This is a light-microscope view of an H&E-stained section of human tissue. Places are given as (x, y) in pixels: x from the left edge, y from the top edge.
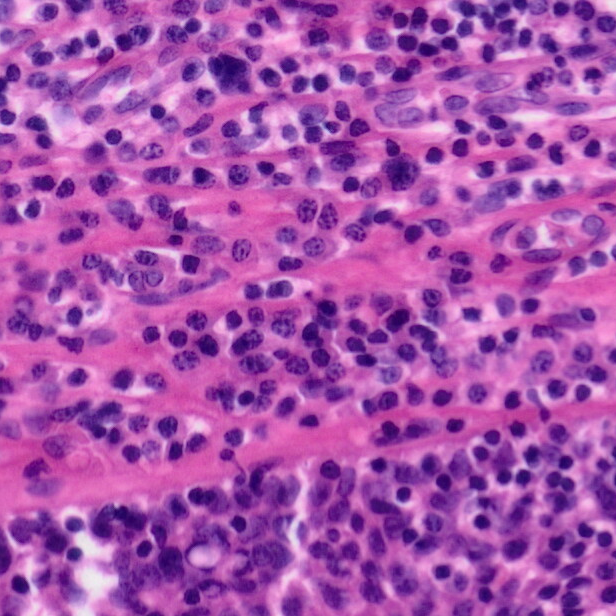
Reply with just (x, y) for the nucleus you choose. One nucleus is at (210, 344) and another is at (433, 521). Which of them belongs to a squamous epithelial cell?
(433, 521)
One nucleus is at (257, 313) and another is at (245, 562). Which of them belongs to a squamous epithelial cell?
(245, 562)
